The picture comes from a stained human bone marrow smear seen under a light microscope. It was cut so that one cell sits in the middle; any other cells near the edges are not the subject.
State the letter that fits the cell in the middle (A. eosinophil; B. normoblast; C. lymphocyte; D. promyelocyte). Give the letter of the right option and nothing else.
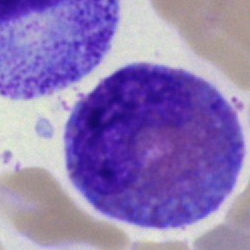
A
